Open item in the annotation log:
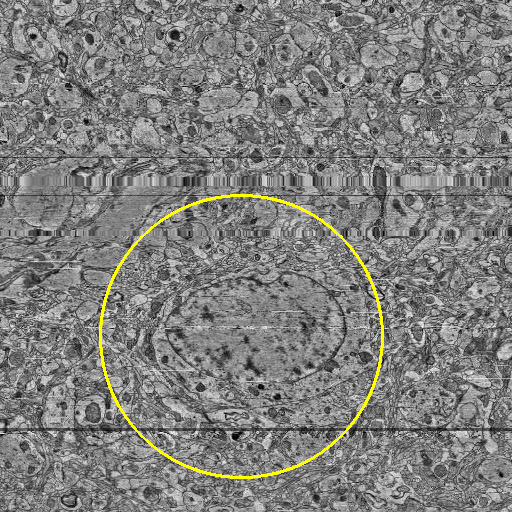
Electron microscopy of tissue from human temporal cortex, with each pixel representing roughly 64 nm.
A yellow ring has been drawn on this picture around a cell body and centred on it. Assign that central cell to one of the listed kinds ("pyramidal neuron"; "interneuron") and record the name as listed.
pyramidal neuron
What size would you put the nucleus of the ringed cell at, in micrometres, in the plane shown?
Approximately 12 x 7 micrometres in this plane.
